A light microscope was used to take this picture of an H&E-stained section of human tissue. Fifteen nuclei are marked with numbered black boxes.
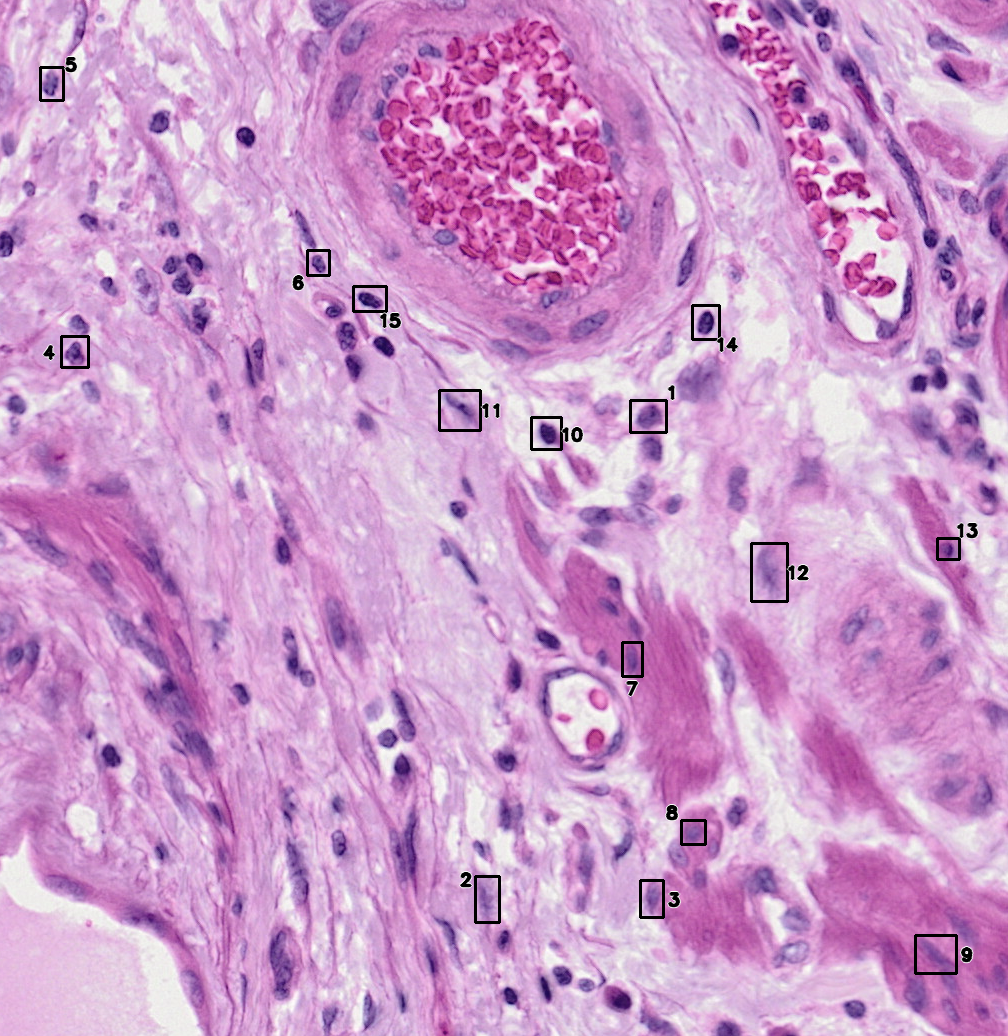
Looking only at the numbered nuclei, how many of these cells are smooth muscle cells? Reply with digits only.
5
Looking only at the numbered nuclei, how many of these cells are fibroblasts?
3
